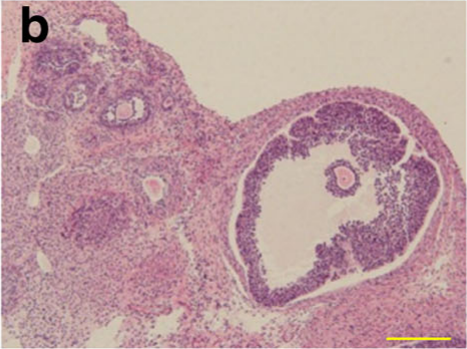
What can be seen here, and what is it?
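This is a section of ovary showing follicles at several stages set in a cellular stroma. The largest follicle, at right, has a wide pale fluid-filled cavity bounded by a thick band of densely packed granulosa cells with dark purple nuclei. An egg cell with pink cytoplasm, surrounded by a small ring of cells, lies within the cavity. The granulosa layer has pulled away from the surrounding wall, leaving a clear gap around much of the follicle. At upper left, several small follicles each show a central egg cell ringed by one or a few layers of cells, embedded in pink spindle-cell stroma with small vessels.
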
